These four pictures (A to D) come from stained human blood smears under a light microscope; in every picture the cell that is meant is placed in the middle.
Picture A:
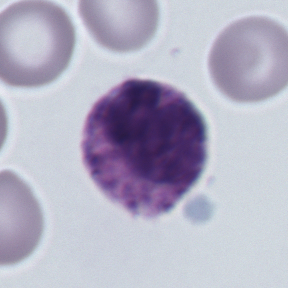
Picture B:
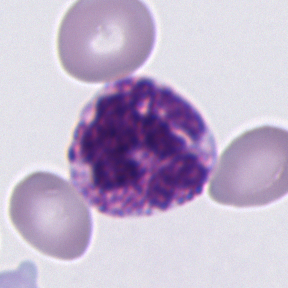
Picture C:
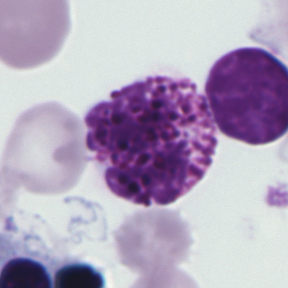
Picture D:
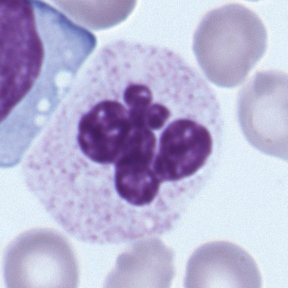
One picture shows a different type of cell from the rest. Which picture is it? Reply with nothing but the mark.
D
